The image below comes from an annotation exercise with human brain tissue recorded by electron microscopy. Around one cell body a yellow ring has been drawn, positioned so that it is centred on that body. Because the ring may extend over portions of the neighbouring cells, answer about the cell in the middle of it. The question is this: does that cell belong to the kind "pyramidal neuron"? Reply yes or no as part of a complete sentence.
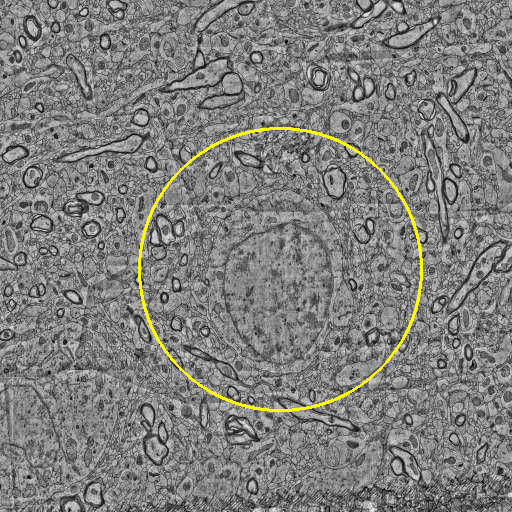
No, in the image the cell in the middle of the ring is of another kind.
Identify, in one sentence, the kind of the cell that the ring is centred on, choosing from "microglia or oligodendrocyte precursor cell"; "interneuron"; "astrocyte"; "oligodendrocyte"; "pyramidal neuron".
The cell at the ring centre is an interneuron.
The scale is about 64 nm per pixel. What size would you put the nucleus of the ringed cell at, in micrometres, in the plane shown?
About 9 by 7 micrometres in this plane.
